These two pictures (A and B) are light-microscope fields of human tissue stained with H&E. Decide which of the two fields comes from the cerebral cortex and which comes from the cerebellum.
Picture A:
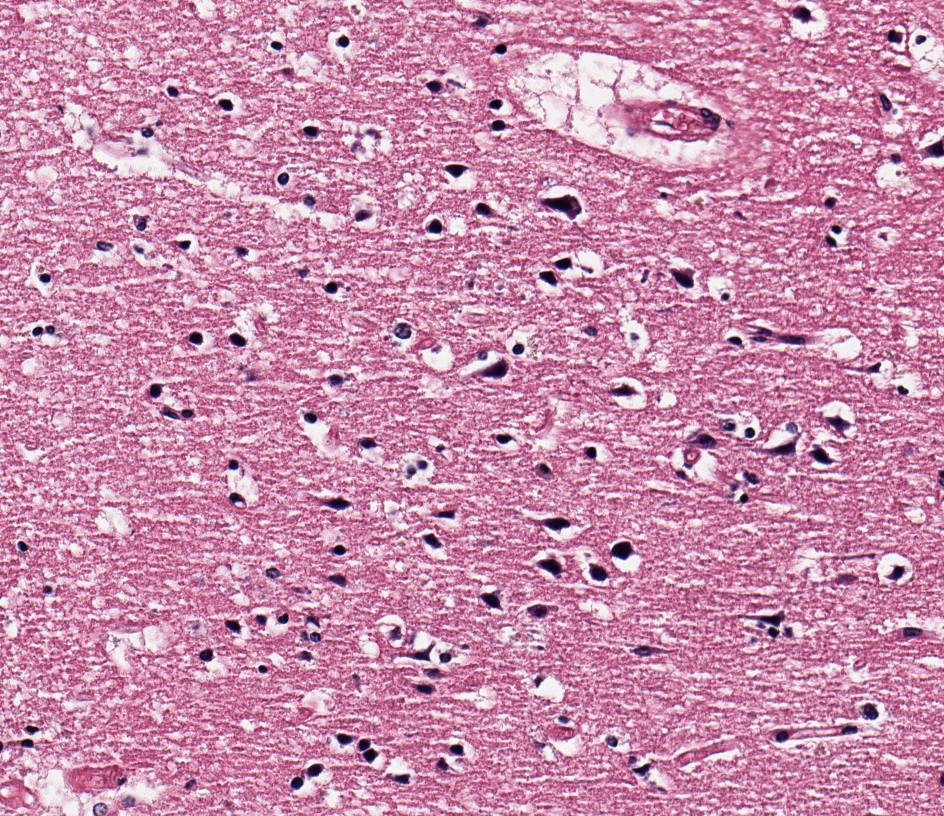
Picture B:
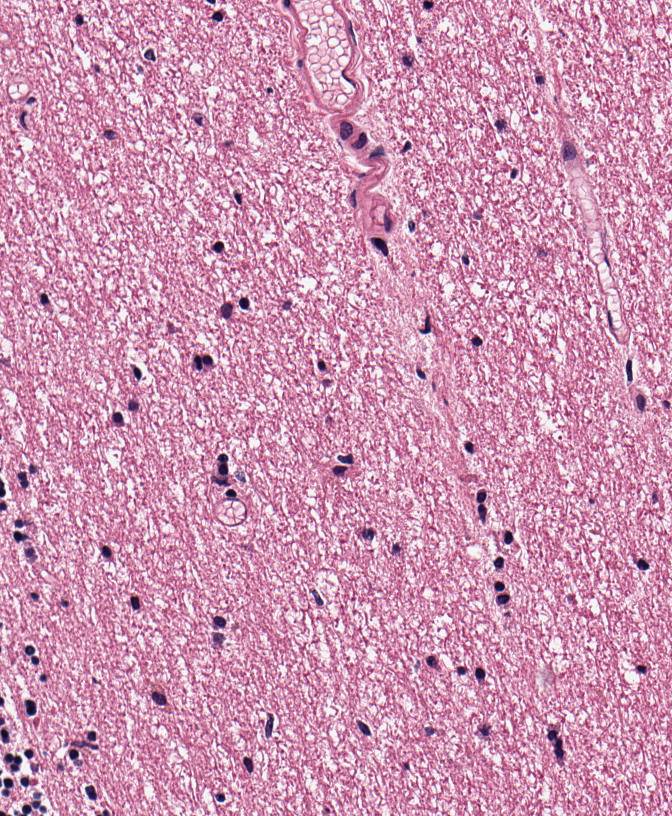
A: cerebral cortex
B: cerebellum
